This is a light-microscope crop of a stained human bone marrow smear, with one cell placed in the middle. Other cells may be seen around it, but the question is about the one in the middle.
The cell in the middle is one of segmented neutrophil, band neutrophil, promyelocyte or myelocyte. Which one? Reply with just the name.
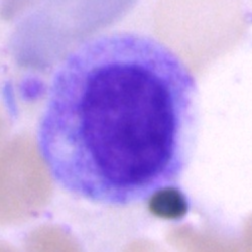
myelocyte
